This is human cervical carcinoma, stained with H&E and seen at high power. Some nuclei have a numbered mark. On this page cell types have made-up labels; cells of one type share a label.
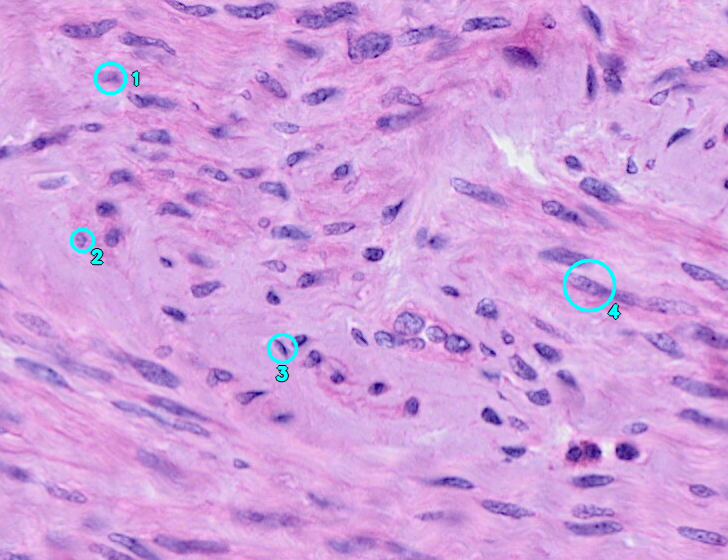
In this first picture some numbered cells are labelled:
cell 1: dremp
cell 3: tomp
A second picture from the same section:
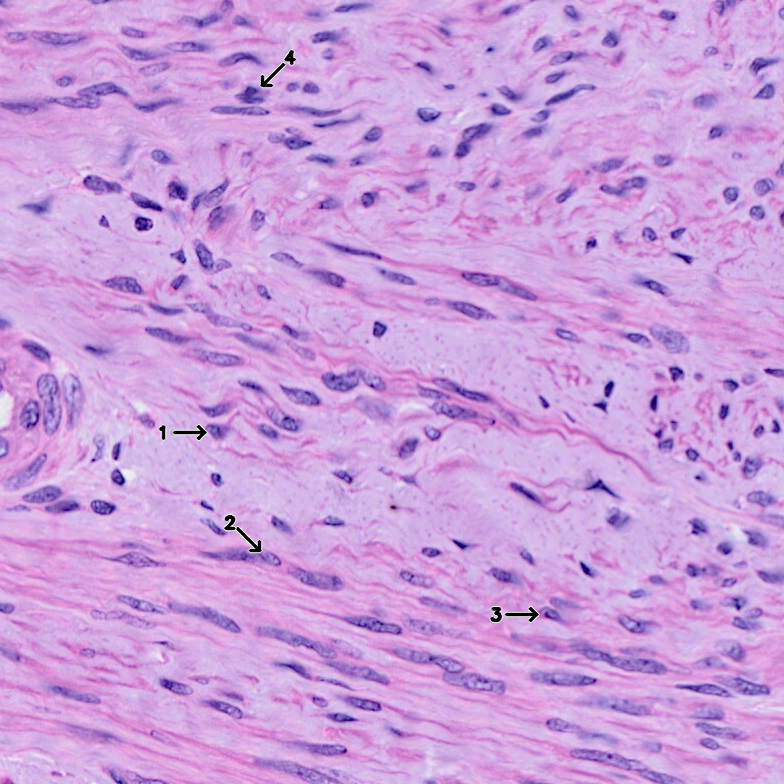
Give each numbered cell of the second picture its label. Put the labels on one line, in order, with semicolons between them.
dremp; dremp; dremp; tomp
